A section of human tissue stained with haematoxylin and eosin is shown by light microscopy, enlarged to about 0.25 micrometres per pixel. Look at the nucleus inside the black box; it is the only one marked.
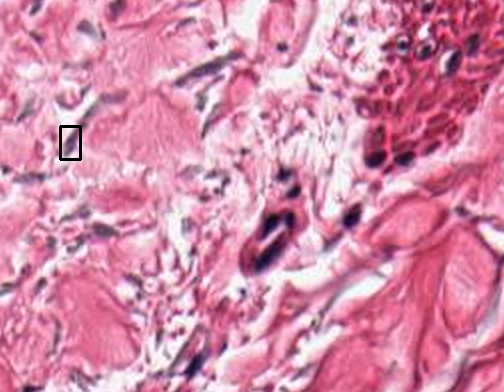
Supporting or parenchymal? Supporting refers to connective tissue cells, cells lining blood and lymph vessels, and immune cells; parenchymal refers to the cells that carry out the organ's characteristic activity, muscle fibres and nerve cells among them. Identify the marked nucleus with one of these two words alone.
supporting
